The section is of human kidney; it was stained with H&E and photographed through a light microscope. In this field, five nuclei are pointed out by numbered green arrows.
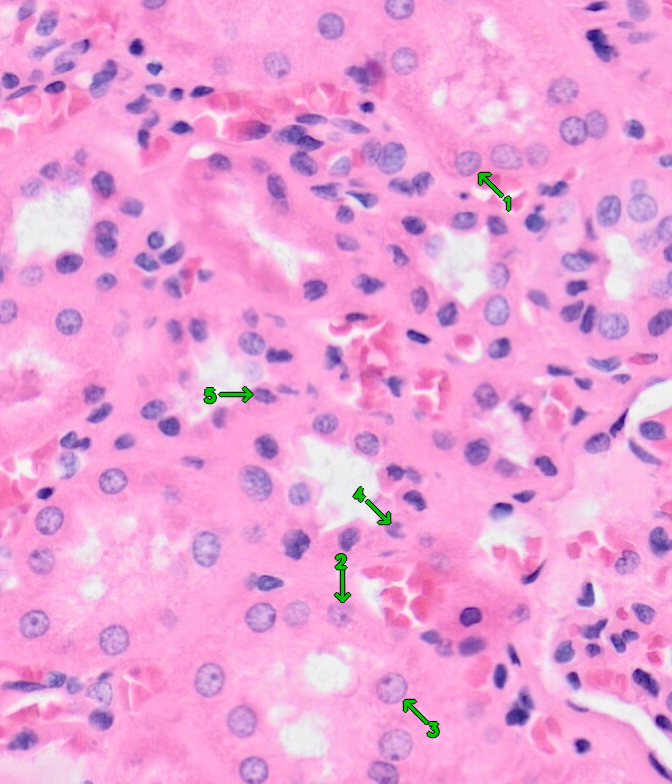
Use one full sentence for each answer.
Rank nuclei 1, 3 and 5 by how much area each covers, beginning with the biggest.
Going from the biggest nucleus down to the smallest gives 3, 1, 5.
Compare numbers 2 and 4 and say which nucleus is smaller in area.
Nucleus 4 is the smaller one; nucleus 2 covers about 2 times its area.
